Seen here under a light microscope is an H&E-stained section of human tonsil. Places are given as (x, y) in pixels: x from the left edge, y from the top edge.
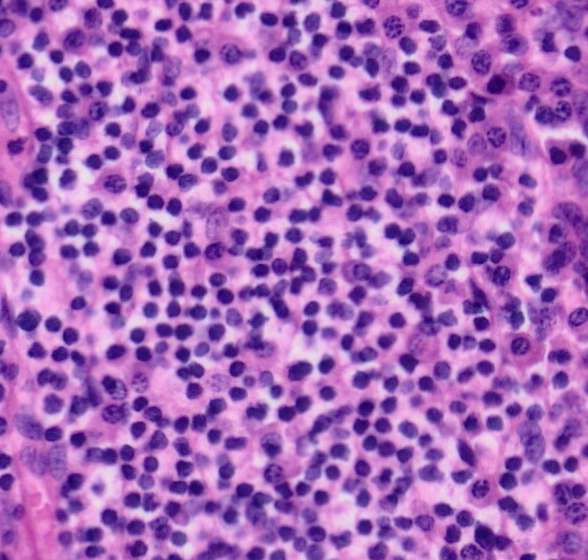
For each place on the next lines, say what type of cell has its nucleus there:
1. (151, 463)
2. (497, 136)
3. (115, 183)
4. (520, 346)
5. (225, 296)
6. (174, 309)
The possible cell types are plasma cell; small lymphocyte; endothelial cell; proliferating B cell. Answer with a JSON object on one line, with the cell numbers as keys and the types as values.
{"1": "small lymphocyte", "2": "plasma cell", "3": "plasma cell", "4": "plasma cell", "5": "small lymphocyte", "6": "small lymphocyte"}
